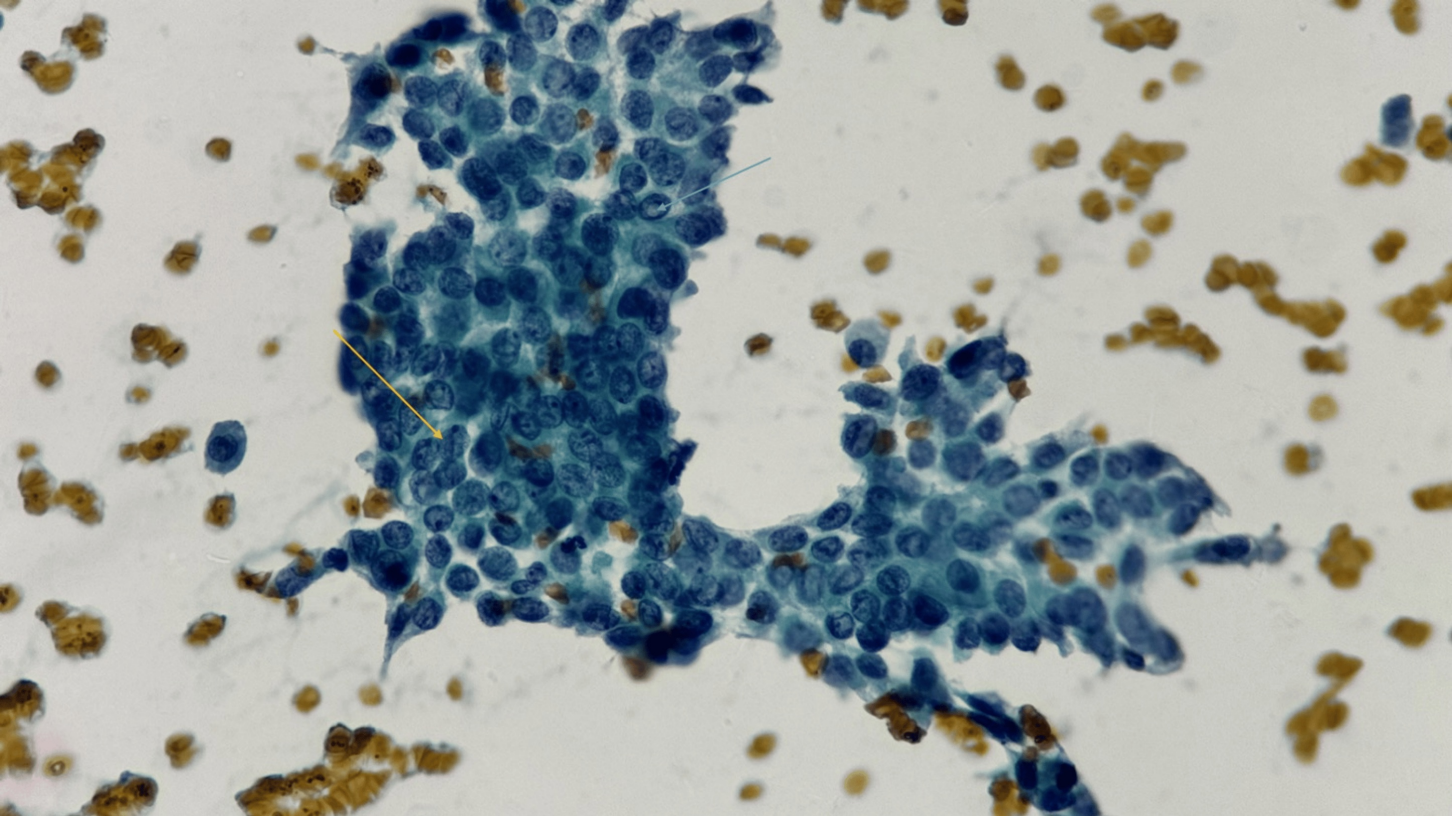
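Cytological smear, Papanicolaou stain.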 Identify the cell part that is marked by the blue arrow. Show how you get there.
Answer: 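The blue arrow points to a nucleus with a round, sharply bordered paler area inside it. The pale area has a tint similar to the surrounding cytoplasm.
Intranuclear cytoplasmic inclusions.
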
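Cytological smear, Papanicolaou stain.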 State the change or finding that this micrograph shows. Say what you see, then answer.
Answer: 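Epithelial cells lie in a large cohesive cluster. Oval nuclei are crowded and overlap one another. Nuclei are large relative to the small round bodies in the background.
Overlapping, enlarged nuclei.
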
